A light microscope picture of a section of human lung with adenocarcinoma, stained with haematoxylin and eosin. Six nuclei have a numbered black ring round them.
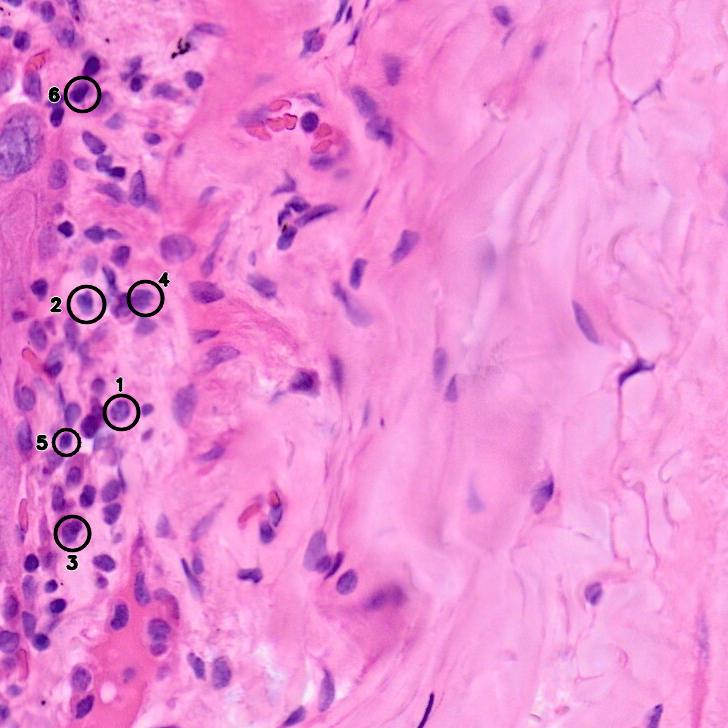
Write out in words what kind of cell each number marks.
Cell 1 is a mast cell. Cells 2, 4, 5 and 6 are lymphocytes. Cell 3 is a plasma cell.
